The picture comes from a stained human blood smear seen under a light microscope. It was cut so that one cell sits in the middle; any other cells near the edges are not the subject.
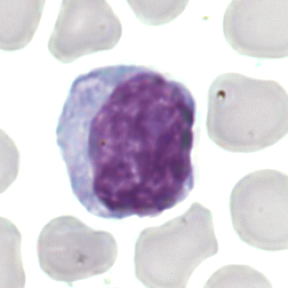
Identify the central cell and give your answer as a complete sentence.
The cell centered in this field of view is a plasma cell.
